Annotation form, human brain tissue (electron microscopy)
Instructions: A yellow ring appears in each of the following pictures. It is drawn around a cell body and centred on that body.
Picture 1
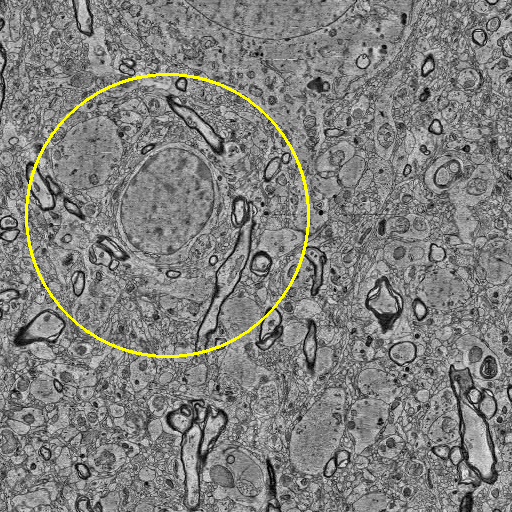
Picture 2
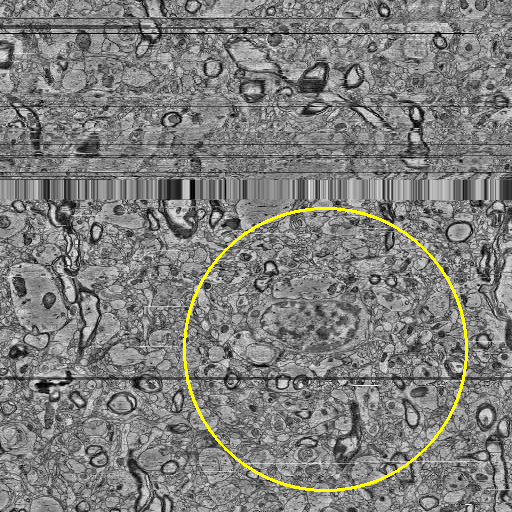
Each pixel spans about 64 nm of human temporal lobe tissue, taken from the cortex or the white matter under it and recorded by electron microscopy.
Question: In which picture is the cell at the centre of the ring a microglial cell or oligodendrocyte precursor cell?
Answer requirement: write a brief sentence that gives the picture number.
The cell at the centre of the ring in Picture 1 is the one asked for.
